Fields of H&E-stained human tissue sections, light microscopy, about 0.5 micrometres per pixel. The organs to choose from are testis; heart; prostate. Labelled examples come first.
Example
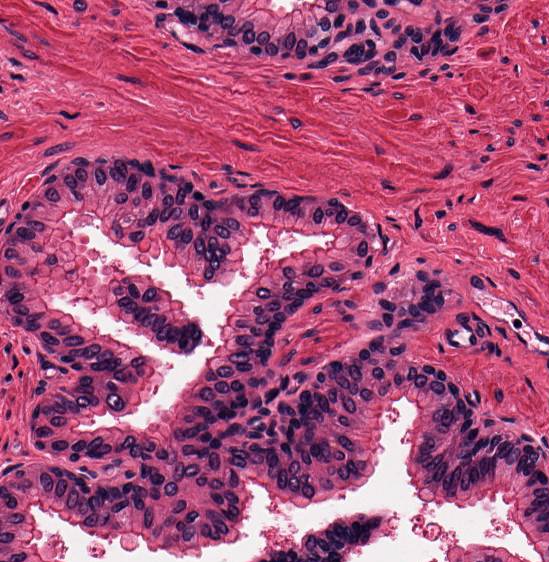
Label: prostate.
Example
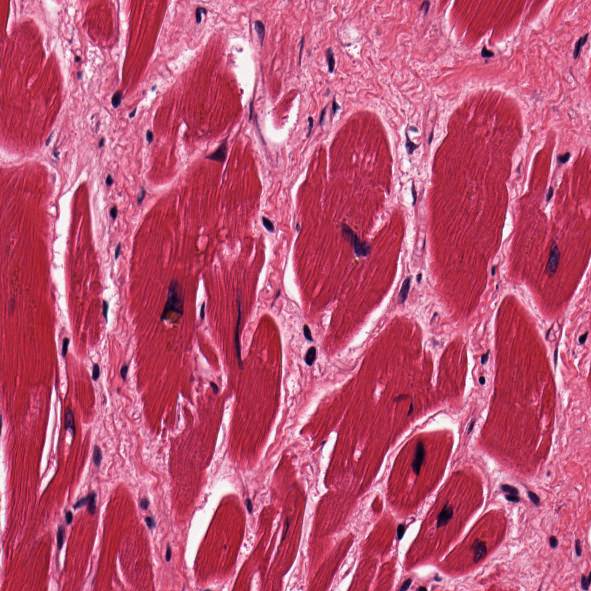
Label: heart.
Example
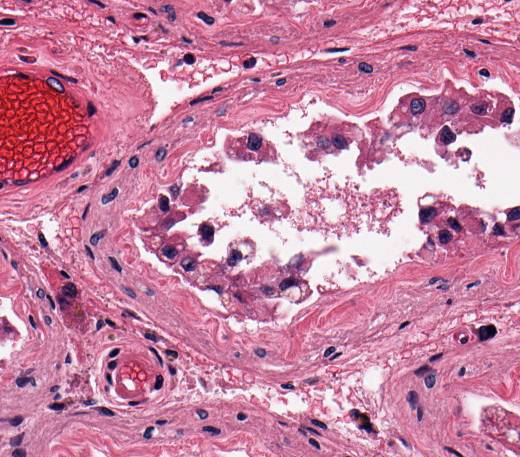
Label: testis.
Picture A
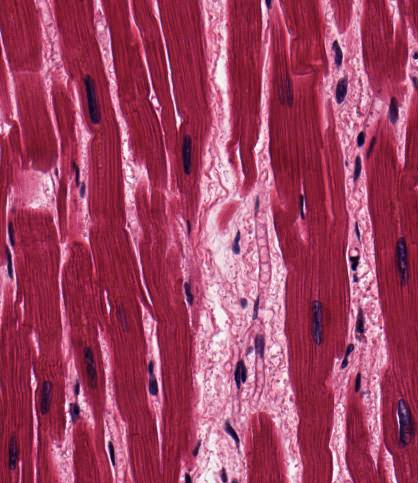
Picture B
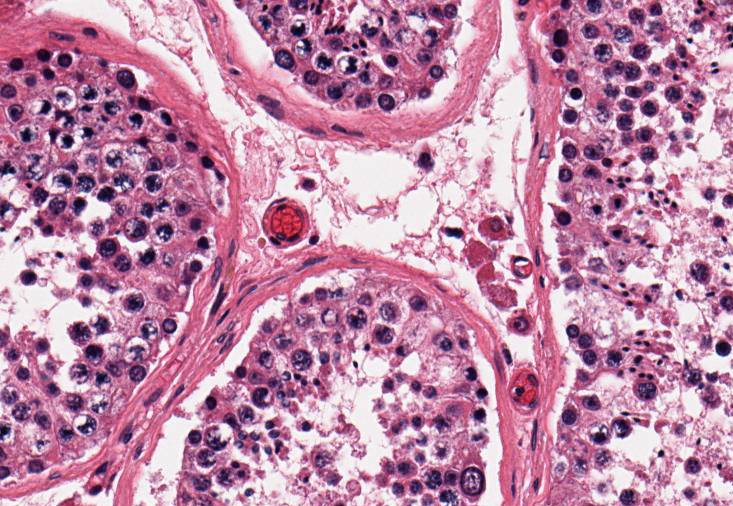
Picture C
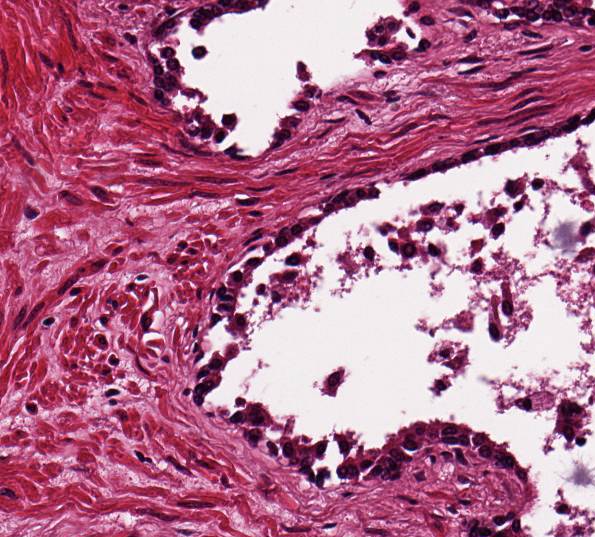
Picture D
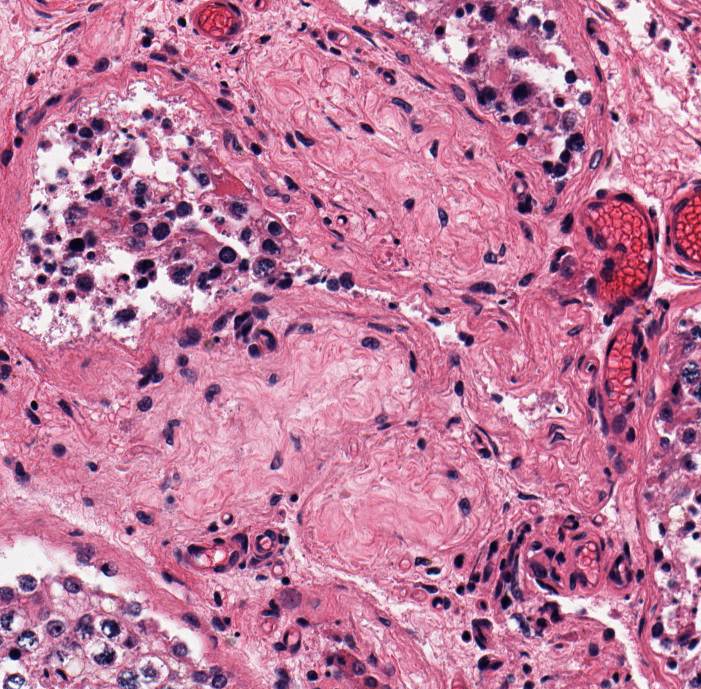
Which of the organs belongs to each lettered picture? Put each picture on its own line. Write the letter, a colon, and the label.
A: heart.
B: testis.
C: prostate.
D: testis.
